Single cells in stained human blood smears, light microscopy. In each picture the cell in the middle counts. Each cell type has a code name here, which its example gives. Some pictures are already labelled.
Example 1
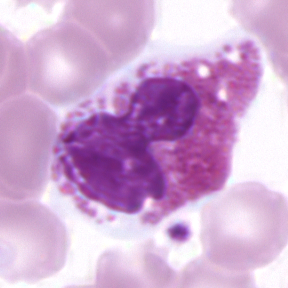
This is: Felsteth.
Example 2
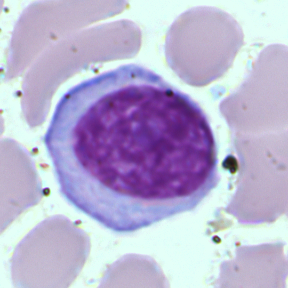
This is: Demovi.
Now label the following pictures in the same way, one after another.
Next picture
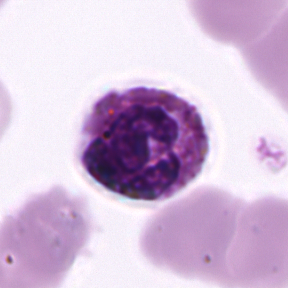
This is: Felsteth.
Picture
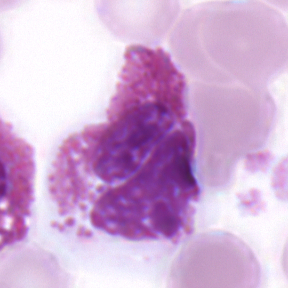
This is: Felsteth.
